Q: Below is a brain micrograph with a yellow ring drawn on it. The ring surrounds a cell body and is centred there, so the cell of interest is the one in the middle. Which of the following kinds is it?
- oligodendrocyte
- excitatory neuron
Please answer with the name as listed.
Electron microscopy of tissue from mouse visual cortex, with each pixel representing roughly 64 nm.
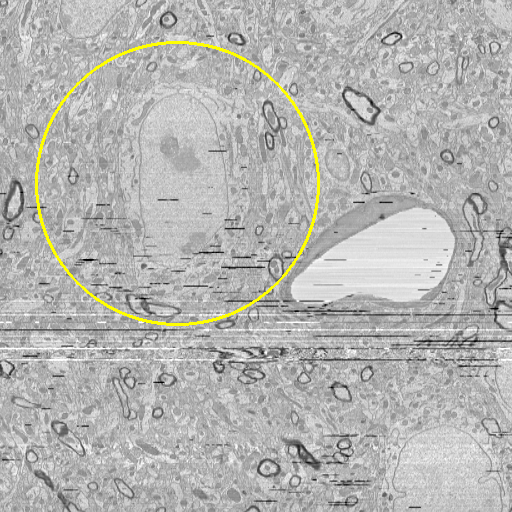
excitatory neuron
